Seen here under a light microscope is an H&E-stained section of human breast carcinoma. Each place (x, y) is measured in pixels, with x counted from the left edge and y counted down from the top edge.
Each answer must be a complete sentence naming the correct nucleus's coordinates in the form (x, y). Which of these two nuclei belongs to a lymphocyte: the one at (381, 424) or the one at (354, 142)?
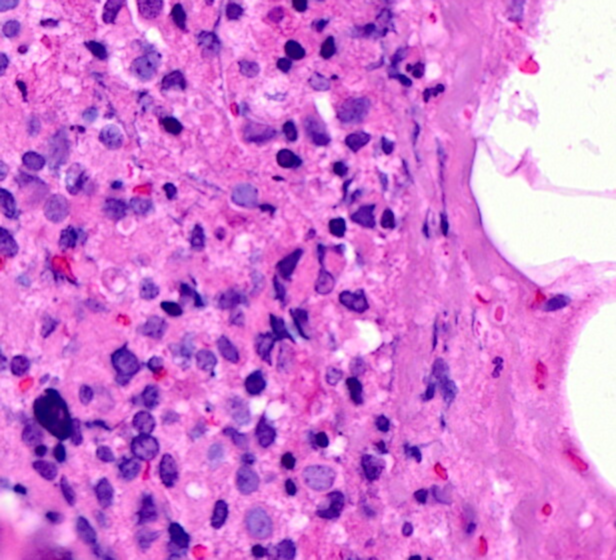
The nucleus that sits at (381, 424) is the nucleus of a lymphocyte.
